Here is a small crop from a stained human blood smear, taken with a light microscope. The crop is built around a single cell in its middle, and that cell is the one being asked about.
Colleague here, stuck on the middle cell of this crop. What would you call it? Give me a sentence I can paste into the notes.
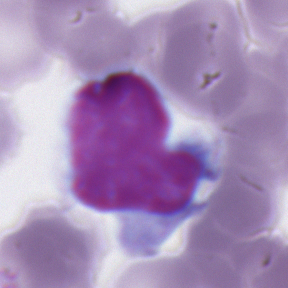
The cell marked by its central position in the crop is a typical lymphocyte.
